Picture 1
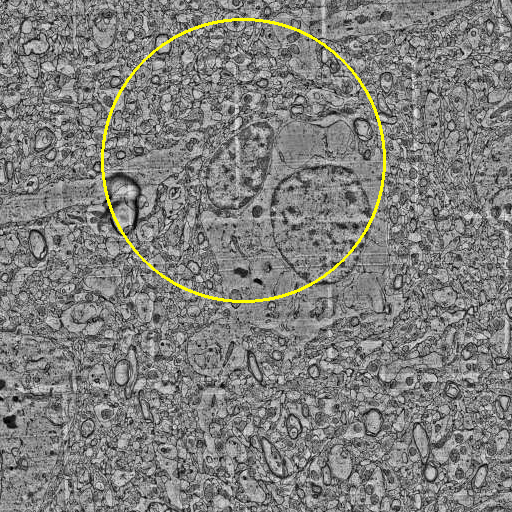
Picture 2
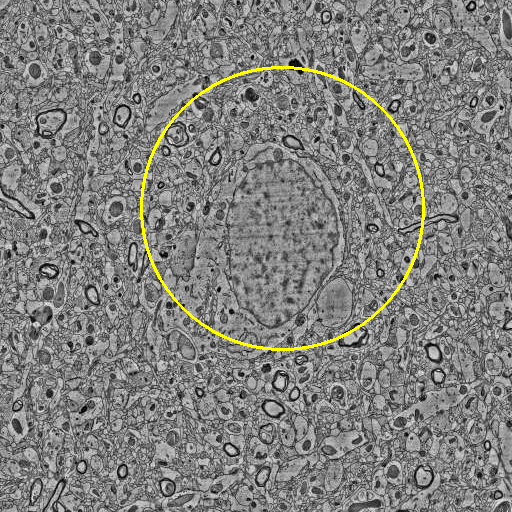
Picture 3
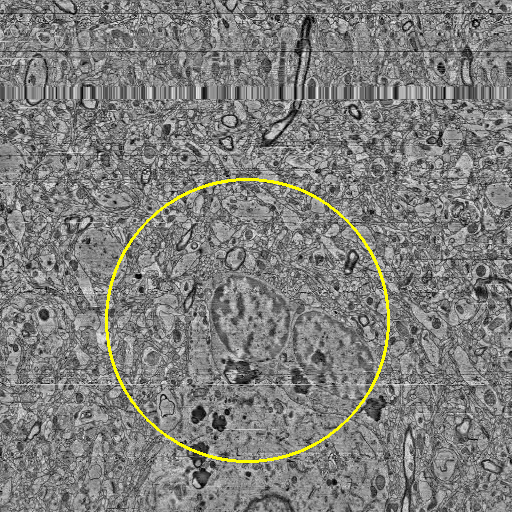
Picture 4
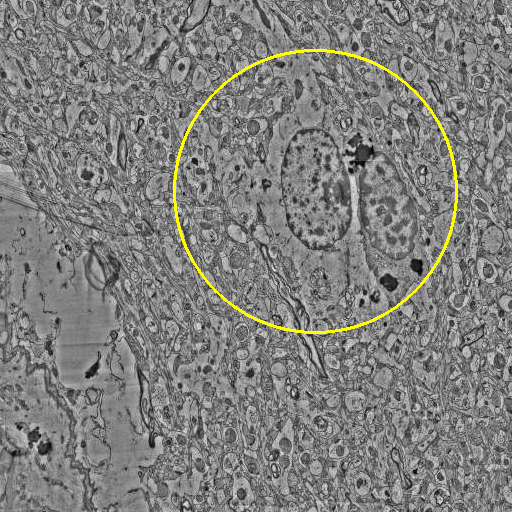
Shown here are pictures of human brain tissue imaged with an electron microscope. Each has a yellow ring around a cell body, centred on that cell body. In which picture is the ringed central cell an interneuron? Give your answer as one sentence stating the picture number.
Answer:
My answer is picture 2, where the ringed cell at the centre is the one sought.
